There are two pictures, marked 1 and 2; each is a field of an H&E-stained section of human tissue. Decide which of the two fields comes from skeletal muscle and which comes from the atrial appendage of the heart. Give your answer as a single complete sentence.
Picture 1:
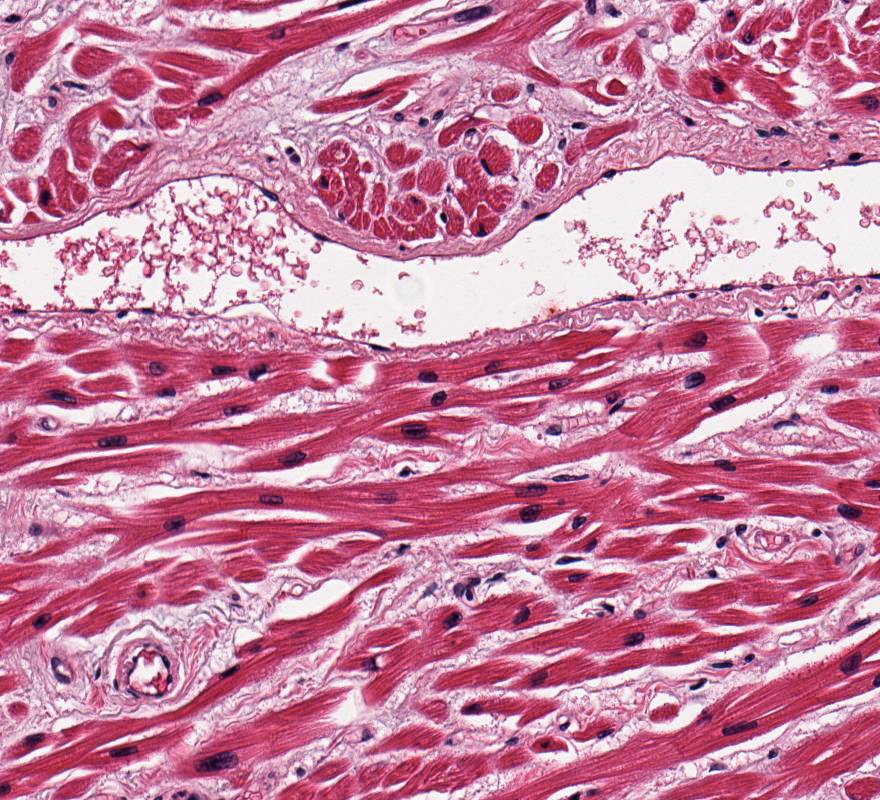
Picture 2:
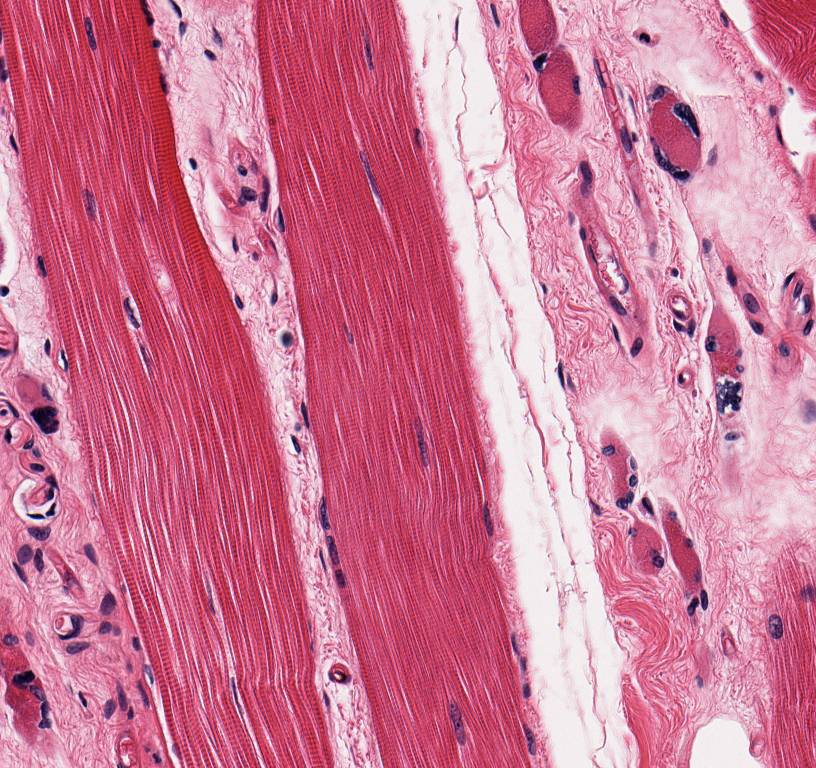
Picture 1 comes from the atrial appendage of the heart and picture 2 comes from skeletal muscle.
